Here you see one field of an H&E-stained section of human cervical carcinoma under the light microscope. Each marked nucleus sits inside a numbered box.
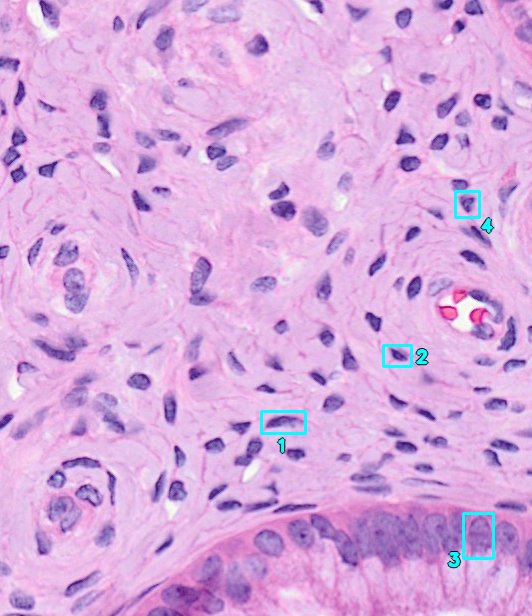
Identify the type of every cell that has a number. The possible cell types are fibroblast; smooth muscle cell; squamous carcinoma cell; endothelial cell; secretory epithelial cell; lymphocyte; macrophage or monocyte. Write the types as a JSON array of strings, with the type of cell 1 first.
["fibroblast", "fibroblast", "secretory epithelial cell", "fibroblast"]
